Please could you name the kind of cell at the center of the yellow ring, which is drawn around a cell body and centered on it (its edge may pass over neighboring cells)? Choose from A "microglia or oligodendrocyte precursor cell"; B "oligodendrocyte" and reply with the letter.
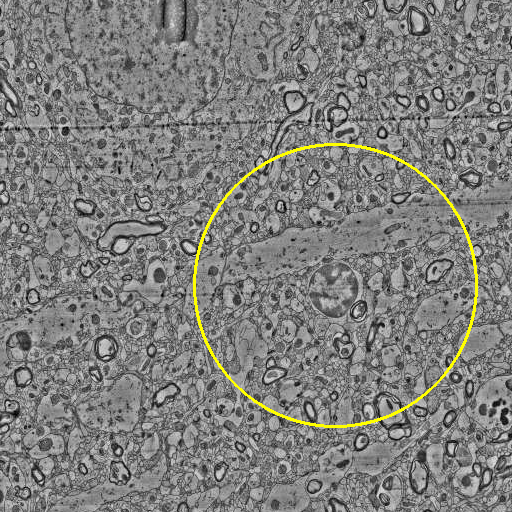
A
